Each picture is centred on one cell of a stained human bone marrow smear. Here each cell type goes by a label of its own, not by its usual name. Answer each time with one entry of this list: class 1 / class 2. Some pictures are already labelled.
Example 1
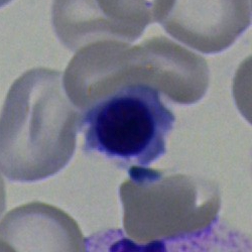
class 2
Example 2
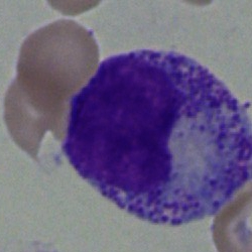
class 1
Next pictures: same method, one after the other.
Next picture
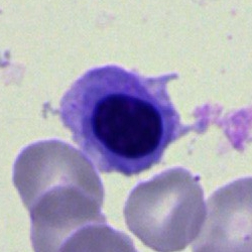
class 2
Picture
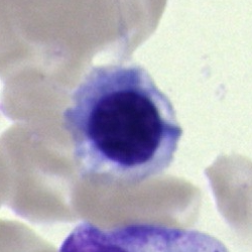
class 2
